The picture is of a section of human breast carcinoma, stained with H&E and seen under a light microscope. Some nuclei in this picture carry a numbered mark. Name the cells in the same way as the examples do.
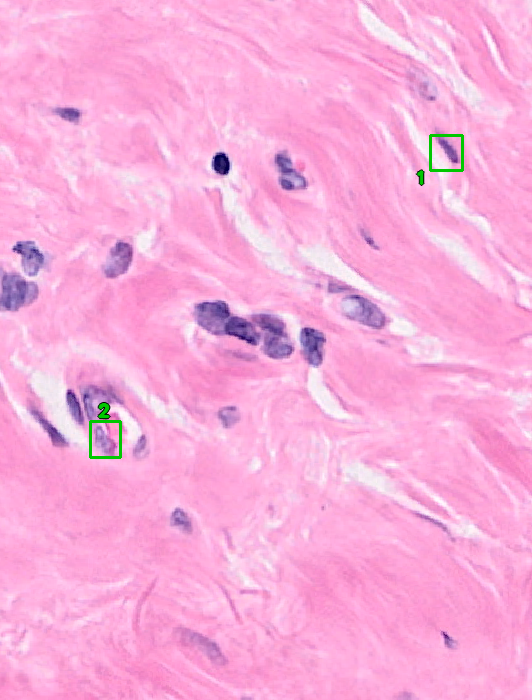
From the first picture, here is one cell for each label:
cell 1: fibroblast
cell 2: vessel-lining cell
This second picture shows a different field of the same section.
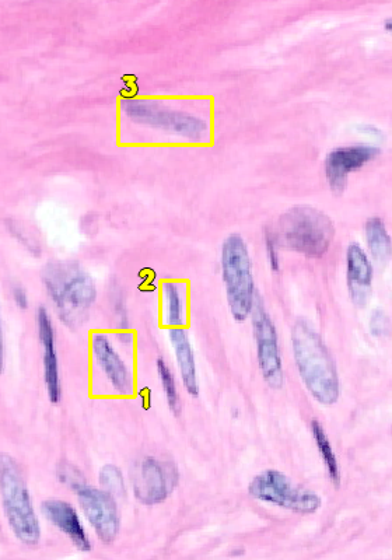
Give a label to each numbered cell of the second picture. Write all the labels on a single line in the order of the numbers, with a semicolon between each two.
vessel-lining cell; vessel-lining cell; fibroblast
